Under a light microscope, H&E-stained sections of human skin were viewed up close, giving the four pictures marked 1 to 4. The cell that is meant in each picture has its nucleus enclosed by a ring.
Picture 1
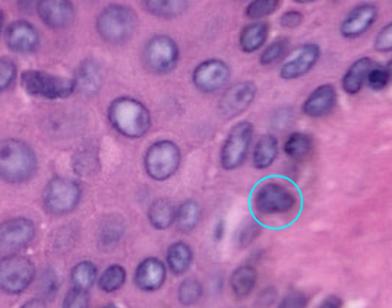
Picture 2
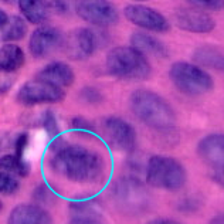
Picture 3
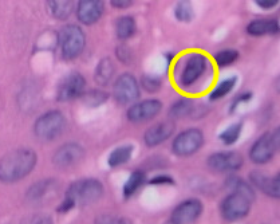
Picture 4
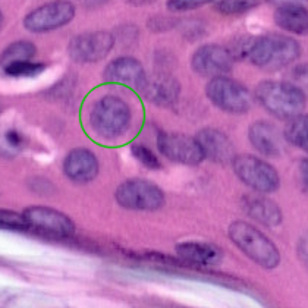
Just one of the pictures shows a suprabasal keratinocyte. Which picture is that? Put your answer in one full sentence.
Picture 4 shows the suprabasal keratinocyte.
